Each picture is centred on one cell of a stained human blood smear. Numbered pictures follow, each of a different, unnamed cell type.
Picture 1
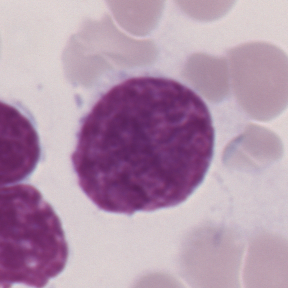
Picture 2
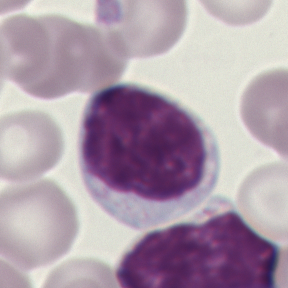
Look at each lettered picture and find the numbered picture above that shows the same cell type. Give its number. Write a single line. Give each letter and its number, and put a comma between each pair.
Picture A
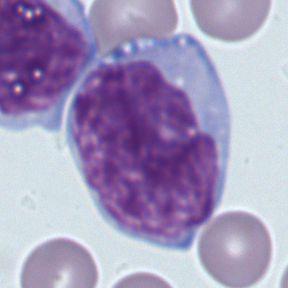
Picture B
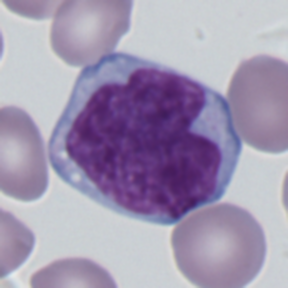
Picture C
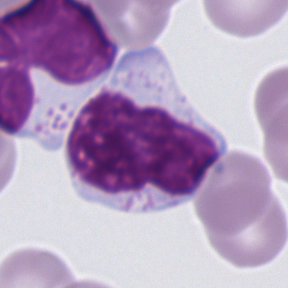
A 1, B 1, C 2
